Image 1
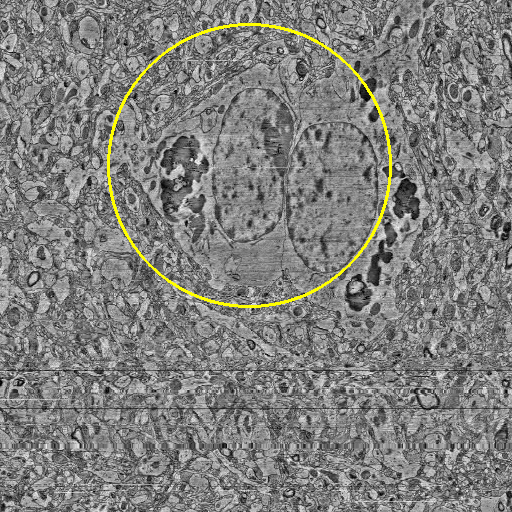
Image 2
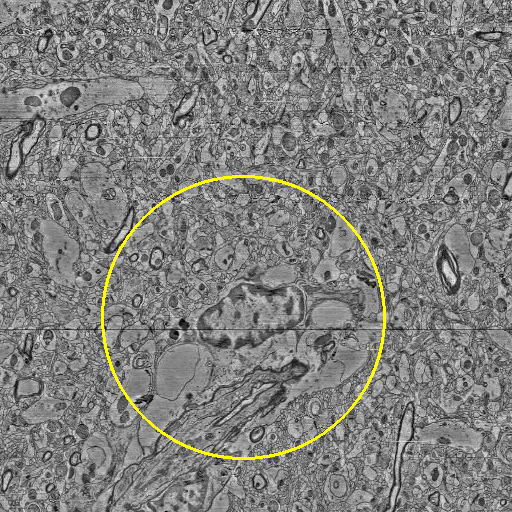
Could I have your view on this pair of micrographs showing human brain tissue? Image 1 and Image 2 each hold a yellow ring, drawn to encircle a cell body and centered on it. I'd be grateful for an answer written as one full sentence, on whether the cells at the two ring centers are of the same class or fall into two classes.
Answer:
The cells at the centers of the two rings fall into two classes.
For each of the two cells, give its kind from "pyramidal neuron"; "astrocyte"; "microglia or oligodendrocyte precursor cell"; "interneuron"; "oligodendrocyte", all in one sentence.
The first picture has an astrocyte in its ring, the second has a microglial cell or oligodendrocyte precursor cell.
